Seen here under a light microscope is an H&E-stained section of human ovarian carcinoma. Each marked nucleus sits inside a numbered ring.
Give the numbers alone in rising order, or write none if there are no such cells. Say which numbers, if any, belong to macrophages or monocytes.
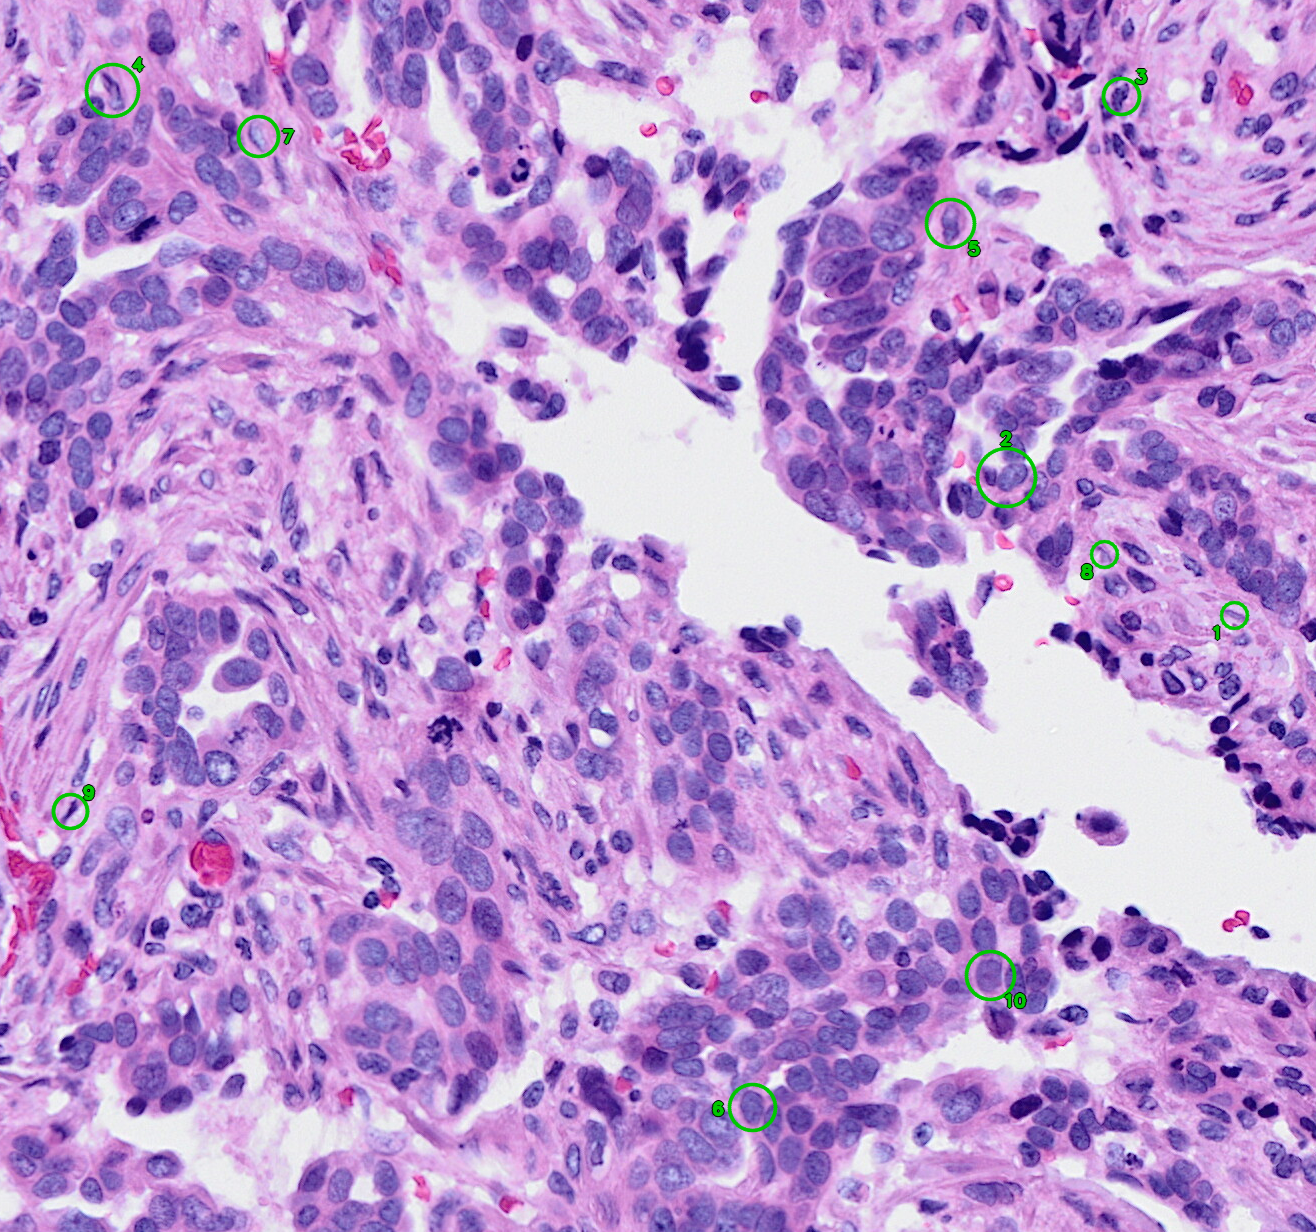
none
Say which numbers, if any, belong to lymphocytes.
3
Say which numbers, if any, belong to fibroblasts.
1, 4, 5, 7, 8, 9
